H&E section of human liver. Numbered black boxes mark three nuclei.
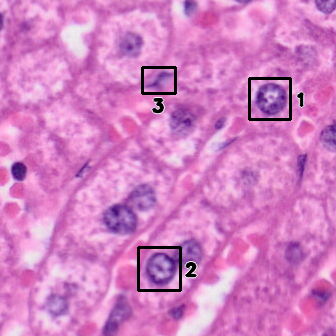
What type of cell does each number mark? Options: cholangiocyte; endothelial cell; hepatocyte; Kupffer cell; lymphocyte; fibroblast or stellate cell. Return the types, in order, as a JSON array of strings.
["hepatocyte", "hepatocyte", "endothelial cell"]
